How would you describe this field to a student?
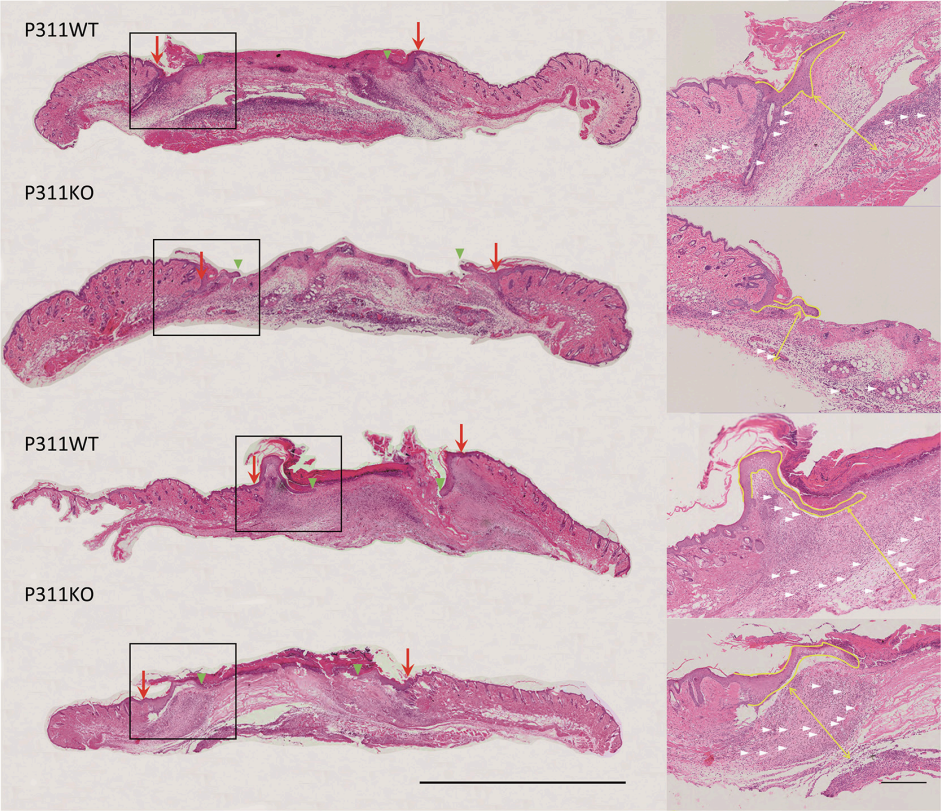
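These are full-length cross-sections of healing skin wounds in pink and purple tones, with intact skin at both ends and a disrupted wound region in the middle. The intact skin shows a thin purple epidermis with hair follicles and a pink dermis beneath. At the wound, a dense pink crust covers the surface, and thin tongues of epithelium creep in from the wound edges beneath it. The enlarged views on the right show the edge of the wound in more detail, with the advancing epithelium and the vessel-rich tissue beneath it.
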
